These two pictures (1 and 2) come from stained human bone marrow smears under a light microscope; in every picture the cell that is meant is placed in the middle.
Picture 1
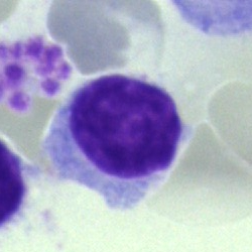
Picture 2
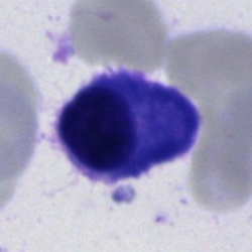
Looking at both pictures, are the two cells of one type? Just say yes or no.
no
